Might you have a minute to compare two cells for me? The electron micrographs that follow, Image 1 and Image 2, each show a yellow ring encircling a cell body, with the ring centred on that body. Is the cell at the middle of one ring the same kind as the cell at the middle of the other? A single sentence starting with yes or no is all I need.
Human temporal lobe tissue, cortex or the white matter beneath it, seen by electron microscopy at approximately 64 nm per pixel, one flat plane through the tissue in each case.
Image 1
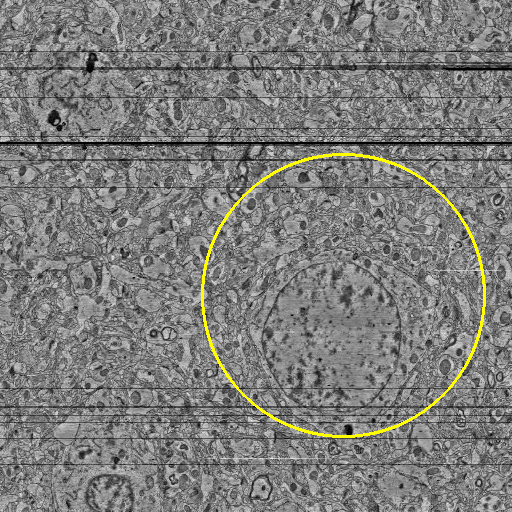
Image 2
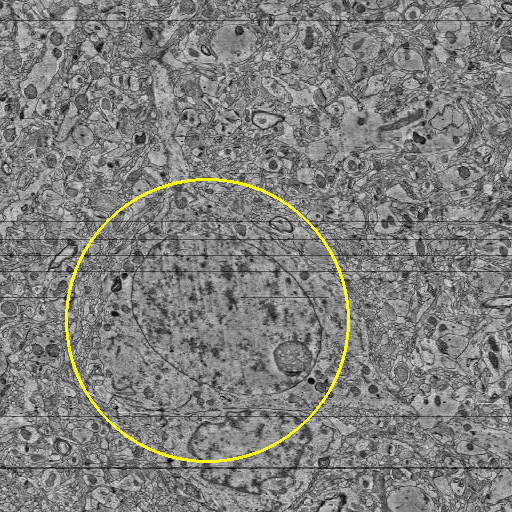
Yes, the cells in the middle of the two rings are of one shared kind.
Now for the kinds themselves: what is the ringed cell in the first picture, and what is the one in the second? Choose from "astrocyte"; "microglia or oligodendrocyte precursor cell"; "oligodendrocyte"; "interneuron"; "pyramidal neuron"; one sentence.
In each of the two pictures, the ringed cell is a pyramidal neuron.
